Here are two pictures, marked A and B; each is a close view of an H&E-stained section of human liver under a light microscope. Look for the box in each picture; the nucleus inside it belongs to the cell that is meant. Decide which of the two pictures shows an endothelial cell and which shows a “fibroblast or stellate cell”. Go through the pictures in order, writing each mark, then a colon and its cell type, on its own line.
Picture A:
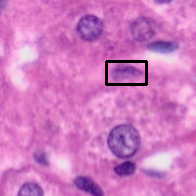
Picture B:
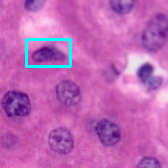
A: endothelial cell
B: fibroblast or stellate cell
